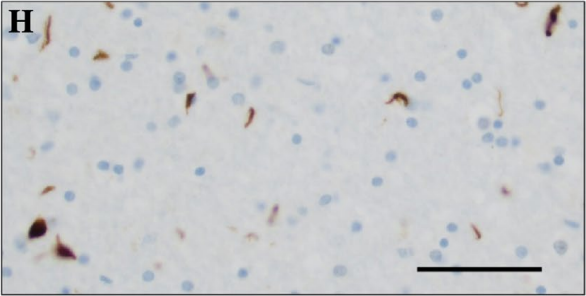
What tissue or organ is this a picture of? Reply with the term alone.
White matter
